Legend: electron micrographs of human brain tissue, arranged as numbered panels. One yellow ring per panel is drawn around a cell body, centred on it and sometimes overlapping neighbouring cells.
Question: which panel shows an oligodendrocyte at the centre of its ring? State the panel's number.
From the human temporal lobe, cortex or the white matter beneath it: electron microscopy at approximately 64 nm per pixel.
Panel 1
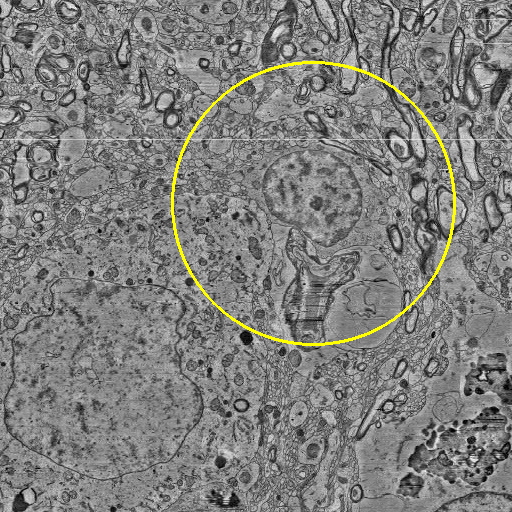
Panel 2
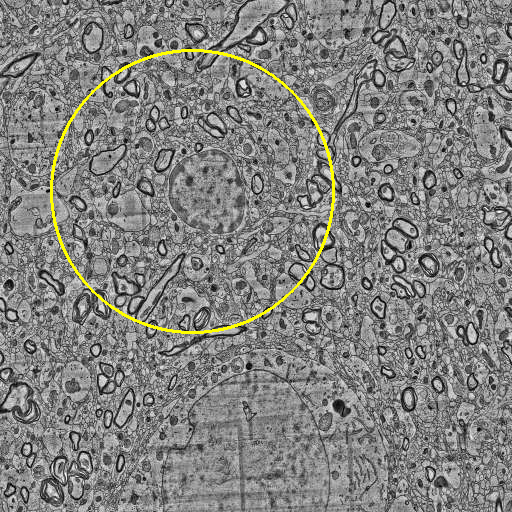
1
